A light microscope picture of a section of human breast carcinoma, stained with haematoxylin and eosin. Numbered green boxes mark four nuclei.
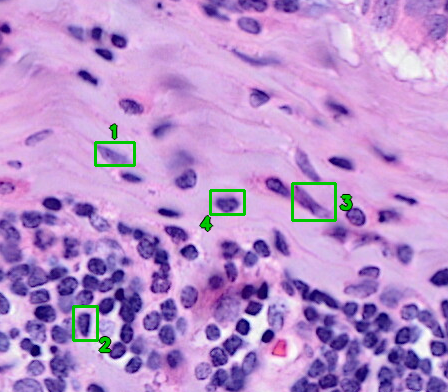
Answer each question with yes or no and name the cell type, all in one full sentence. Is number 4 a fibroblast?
No, calling cell 4 a fibroblast is a mistake; it is a lymphocyte.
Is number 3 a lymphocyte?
No, the cell given the number 3 is a fibroblast, so not a lymphocyte.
